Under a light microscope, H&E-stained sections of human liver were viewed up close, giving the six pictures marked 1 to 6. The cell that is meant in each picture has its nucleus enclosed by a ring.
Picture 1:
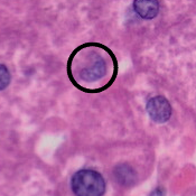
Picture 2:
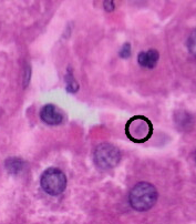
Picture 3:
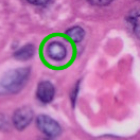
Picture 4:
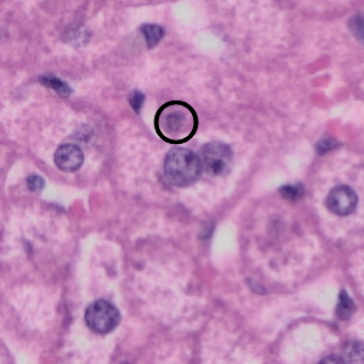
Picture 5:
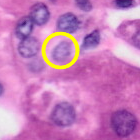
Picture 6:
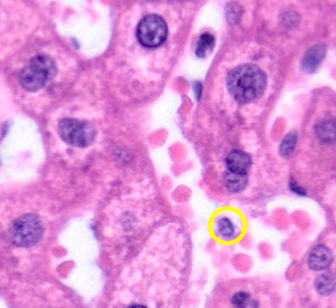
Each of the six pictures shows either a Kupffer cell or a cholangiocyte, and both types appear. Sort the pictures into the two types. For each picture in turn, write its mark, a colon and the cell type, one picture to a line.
1: Kupffer cell
2: Kupffer cell
3: cholangiocyte
4: Kupffer cell
5: cholangiocyte
6: Kupffer cell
